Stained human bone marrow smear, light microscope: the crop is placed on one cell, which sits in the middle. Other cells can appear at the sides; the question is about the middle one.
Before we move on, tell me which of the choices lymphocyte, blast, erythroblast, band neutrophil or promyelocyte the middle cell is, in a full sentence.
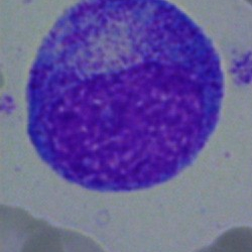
The cell the crop is centered on is a promyelocyte.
